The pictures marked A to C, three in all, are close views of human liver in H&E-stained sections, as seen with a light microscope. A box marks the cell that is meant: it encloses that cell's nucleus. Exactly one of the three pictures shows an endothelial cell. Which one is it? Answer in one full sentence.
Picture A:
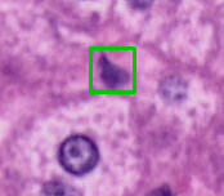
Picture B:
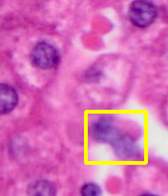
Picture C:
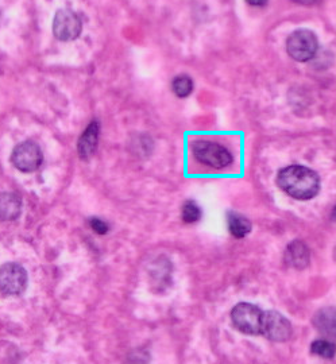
The picture with the endothelial cell is A.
